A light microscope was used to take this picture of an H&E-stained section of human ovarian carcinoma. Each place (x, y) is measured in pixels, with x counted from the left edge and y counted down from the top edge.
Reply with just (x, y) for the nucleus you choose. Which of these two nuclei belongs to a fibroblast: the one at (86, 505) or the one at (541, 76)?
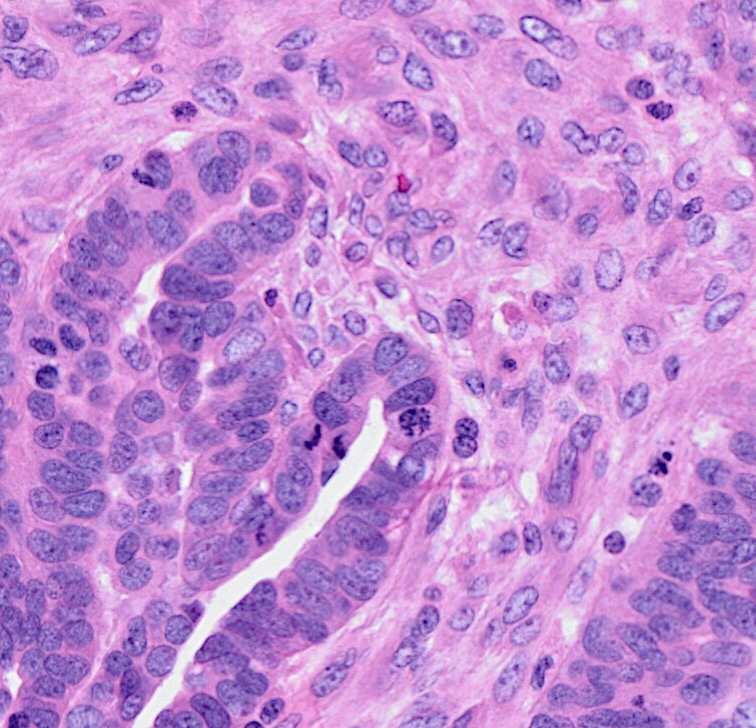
(541, 76)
